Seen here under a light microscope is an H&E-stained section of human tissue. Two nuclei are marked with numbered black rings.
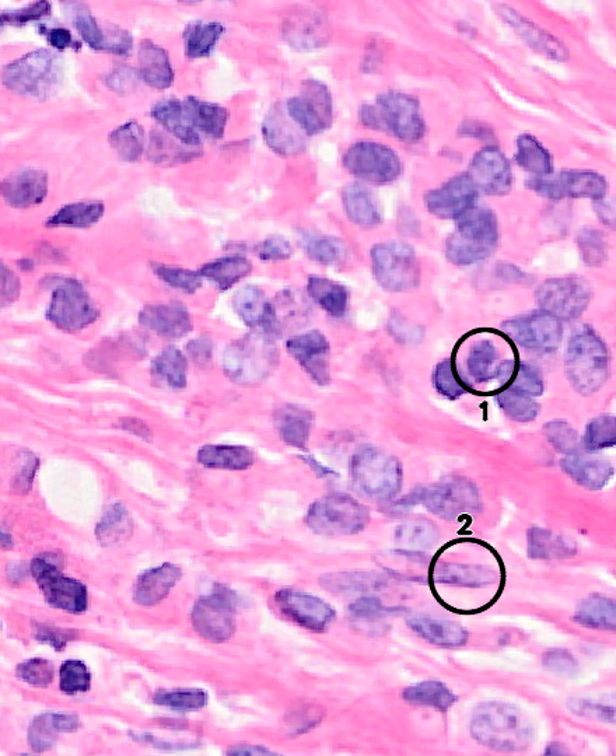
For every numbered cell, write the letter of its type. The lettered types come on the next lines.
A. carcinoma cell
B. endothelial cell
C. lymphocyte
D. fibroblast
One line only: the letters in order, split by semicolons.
A; B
